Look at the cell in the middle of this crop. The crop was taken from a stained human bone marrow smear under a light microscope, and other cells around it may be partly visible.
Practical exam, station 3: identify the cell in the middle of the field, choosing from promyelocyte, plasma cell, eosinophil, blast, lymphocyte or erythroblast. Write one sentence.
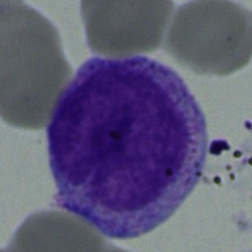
The cell featured at the centre of this crop is a promyelocyte.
